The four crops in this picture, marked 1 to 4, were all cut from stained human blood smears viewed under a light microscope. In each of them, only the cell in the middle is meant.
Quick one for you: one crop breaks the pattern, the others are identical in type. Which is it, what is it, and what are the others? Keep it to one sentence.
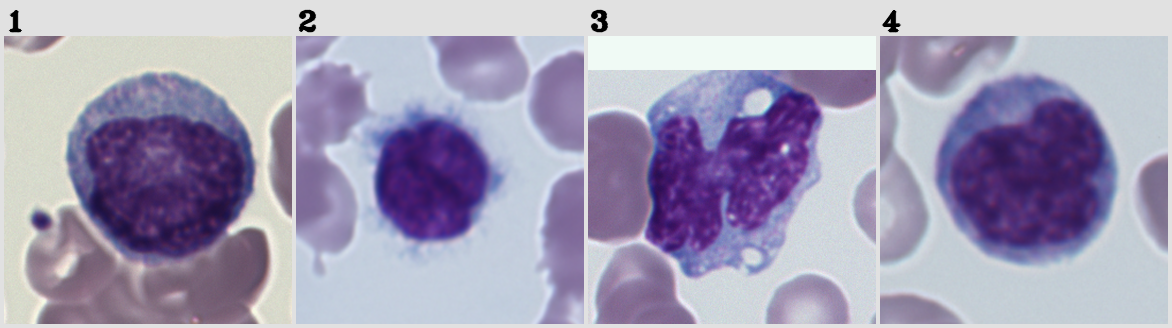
Where the others show monocytes, crop 2 shows a hairy cell.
